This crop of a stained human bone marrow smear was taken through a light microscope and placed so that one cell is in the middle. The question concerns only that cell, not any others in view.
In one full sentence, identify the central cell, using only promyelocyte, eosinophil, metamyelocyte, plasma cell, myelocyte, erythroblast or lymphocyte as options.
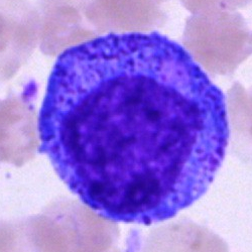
In the middle of this smear crop is a promyelocyte.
